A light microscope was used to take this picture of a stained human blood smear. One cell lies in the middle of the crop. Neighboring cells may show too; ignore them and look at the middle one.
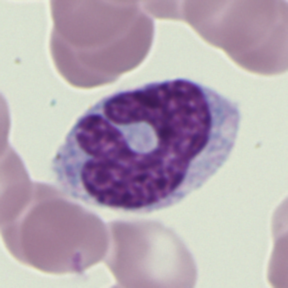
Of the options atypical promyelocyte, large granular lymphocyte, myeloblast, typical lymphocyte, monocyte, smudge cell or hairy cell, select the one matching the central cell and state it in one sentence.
By classification, the middle cell of this crop is a monocyte.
